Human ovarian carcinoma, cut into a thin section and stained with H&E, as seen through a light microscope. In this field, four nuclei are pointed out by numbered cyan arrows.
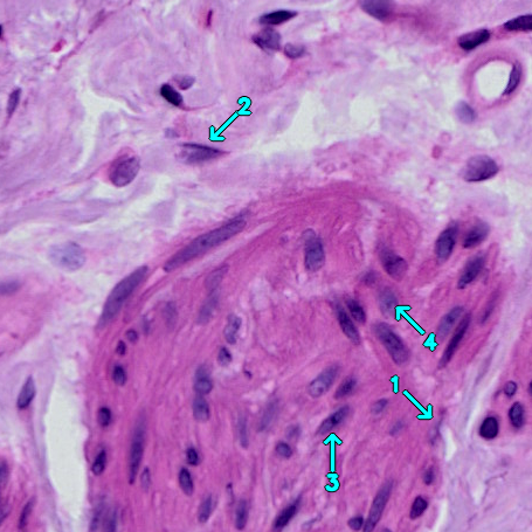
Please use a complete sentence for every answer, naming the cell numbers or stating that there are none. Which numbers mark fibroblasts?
It is only cell 2 that is a fibroblast among the numbered cells.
